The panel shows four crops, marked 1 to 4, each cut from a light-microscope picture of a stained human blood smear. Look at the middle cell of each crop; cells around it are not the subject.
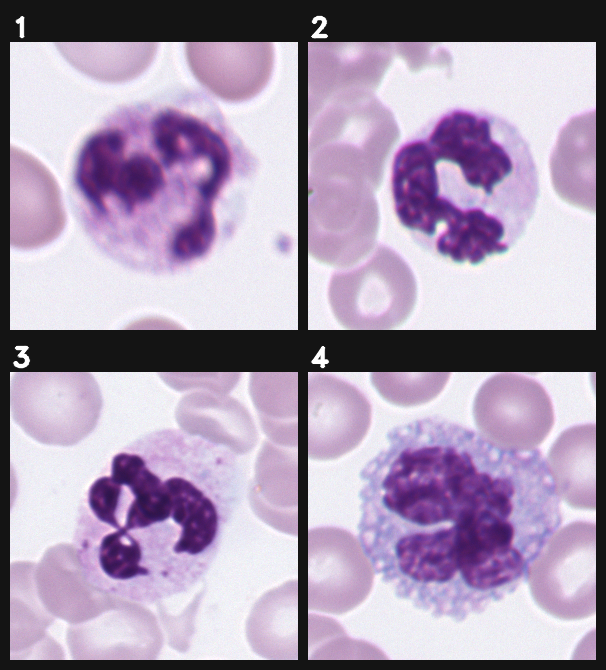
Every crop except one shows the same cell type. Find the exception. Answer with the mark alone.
4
